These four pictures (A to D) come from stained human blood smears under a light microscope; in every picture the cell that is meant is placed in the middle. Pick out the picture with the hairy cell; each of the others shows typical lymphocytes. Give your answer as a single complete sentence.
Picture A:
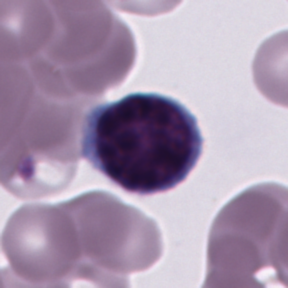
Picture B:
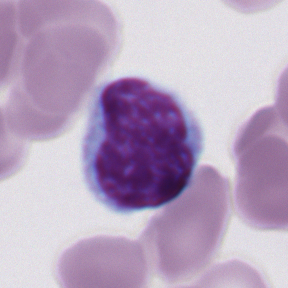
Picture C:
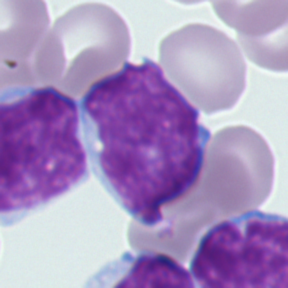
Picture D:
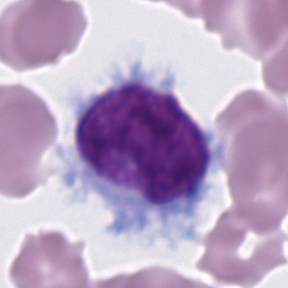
It is picture D that shows the hairy cell.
